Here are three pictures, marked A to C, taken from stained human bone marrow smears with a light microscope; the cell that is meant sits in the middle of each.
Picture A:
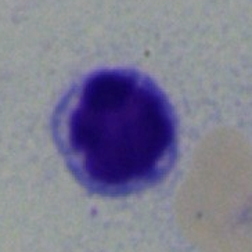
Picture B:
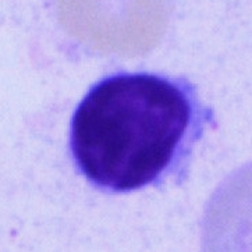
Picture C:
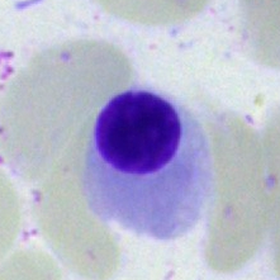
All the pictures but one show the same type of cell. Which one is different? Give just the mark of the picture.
C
